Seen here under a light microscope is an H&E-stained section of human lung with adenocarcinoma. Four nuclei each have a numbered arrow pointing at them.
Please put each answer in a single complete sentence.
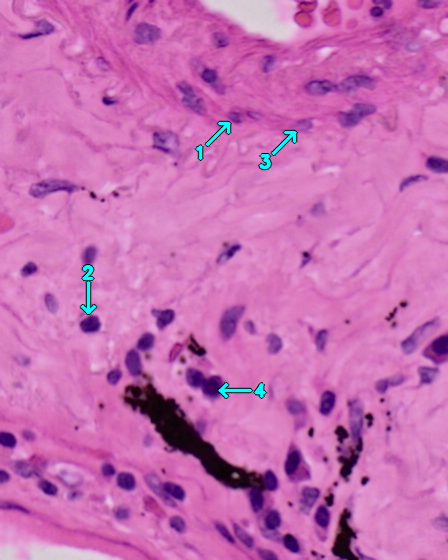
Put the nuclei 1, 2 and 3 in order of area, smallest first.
Smallest first, the nuclei run 1, 3, 2.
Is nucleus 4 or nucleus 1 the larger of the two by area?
Nucleus 4 is the larger one, covering about 2 times the area of nucleus 1.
